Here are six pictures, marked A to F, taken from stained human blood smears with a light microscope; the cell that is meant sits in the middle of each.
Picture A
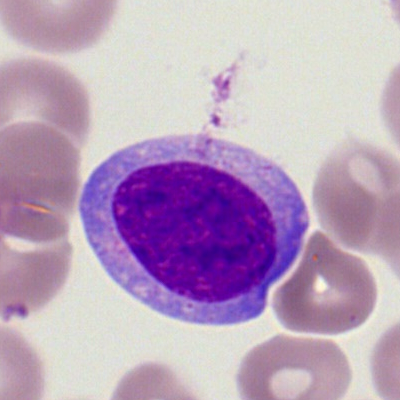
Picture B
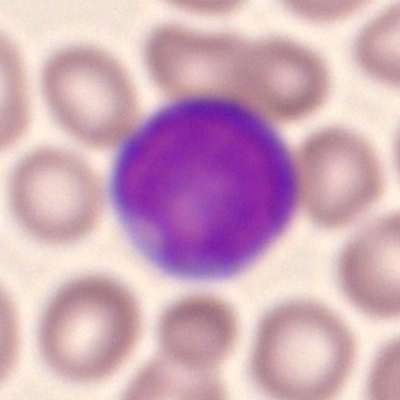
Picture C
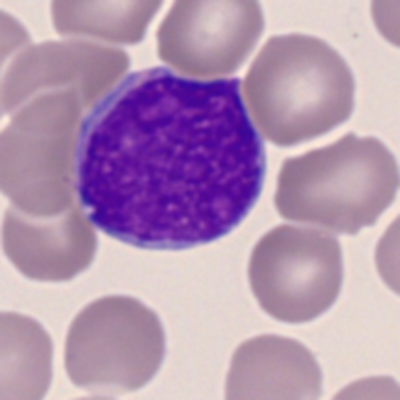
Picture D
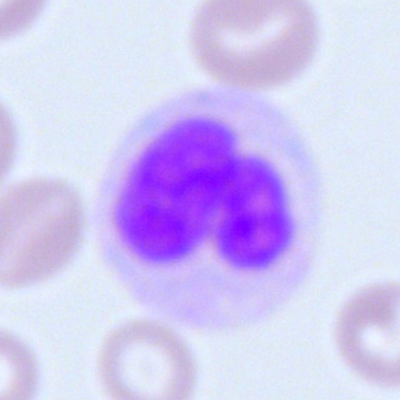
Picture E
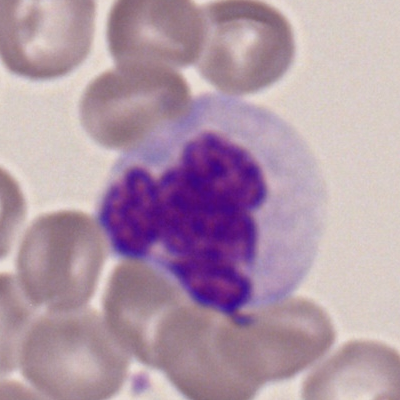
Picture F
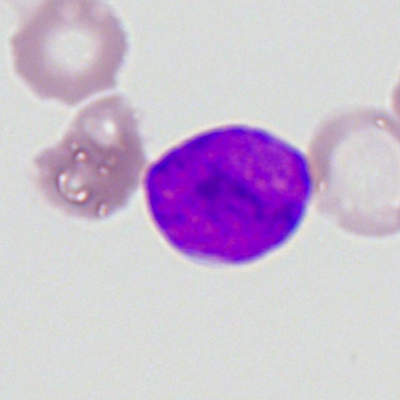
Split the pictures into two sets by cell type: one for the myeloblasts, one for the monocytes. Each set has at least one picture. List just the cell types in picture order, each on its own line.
myeloblast
myeloblast
myeloblast
monocyte
monocyte
myeloblast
